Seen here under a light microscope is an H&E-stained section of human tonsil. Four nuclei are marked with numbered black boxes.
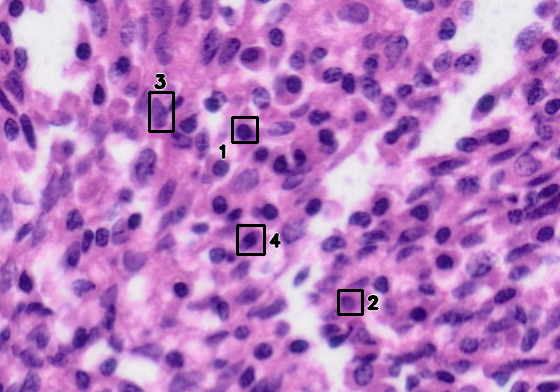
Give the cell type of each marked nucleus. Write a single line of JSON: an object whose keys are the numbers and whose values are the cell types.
{"1": "plasma cell", "2": "plasma cell", "3": "squamous epithelial cell", "4": "plasma cell"}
